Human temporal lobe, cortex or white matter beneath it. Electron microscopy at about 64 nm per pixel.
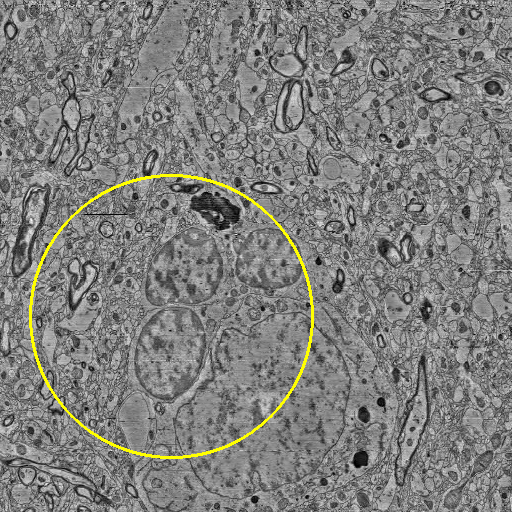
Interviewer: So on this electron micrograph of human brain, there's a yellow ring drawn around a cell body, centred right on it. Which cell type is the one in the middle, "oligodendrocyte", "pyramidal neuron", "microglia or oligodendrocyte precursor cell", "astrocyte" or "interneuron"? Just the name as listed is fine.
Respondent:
oligodendrocyte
